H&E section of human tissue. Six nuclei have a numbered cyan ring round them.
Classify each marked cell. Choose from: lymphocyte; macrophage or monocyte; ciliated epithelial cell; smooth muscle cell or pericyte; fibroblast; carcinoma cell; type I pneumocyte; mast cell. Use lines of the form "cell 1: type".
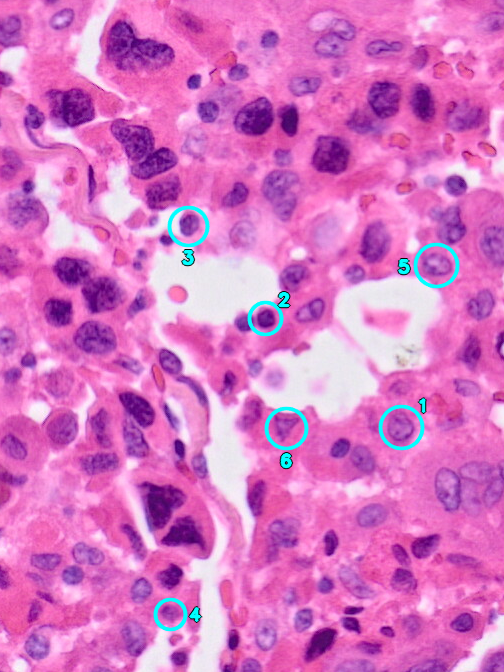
cell 1: macrophage or monocyte
cell 2: lymphocyte
cell 3: lymphocyte
cell 4: macrophage or monocyte
cell 5: macrophage or monocyte
cell 6: macrophage or monocyte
